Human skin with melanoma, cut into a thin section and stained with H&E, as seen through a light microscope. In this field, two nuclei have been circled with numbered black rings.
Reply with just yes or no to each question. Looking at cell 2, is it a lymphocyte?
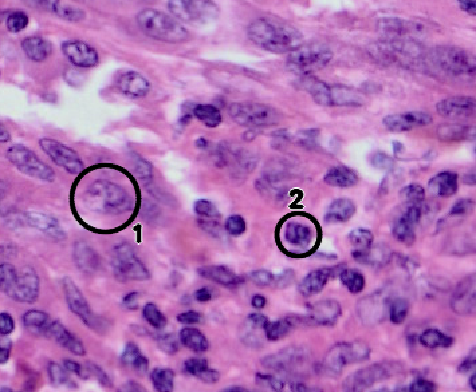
yes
